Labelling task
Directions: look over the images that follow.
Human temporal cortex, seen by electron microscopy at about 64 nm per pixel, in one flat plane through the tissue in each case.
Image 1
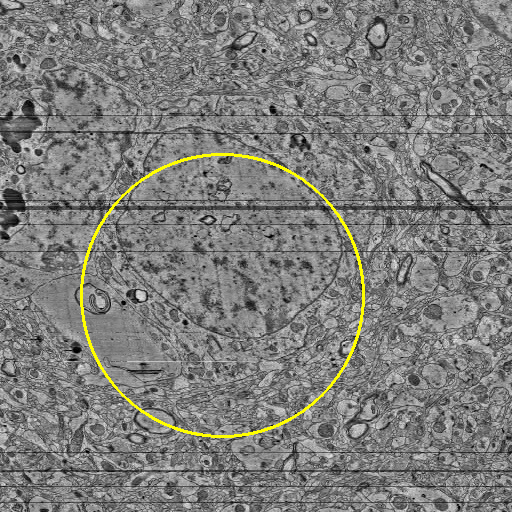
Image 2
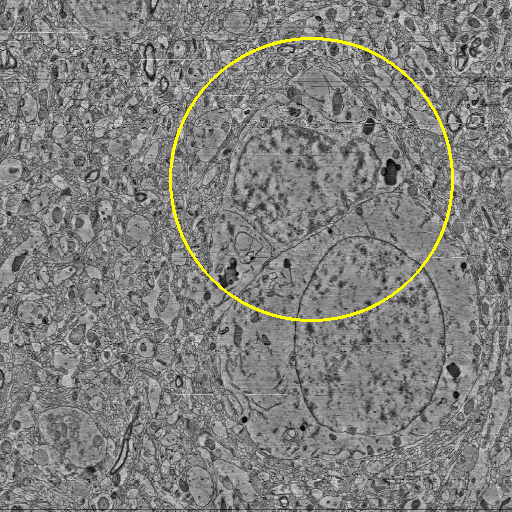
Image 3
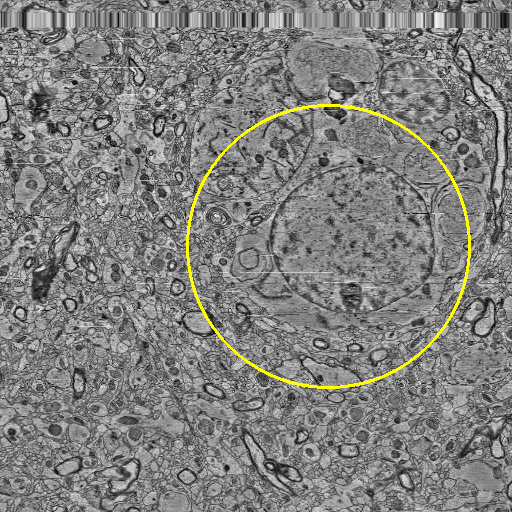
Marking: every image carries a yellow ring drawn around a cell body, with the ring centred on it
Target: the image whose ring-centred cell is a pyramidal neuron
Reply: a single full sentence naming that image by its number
The requested cell sits at the ring's centre in Image 1.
